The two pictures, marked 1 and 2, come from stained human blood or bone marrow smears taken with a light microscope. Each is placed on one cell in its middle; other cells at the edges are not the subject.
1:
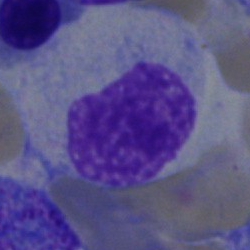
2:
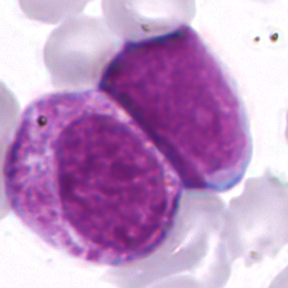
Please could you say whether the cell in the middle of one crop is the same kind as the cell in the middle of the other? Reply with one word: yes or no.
yes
